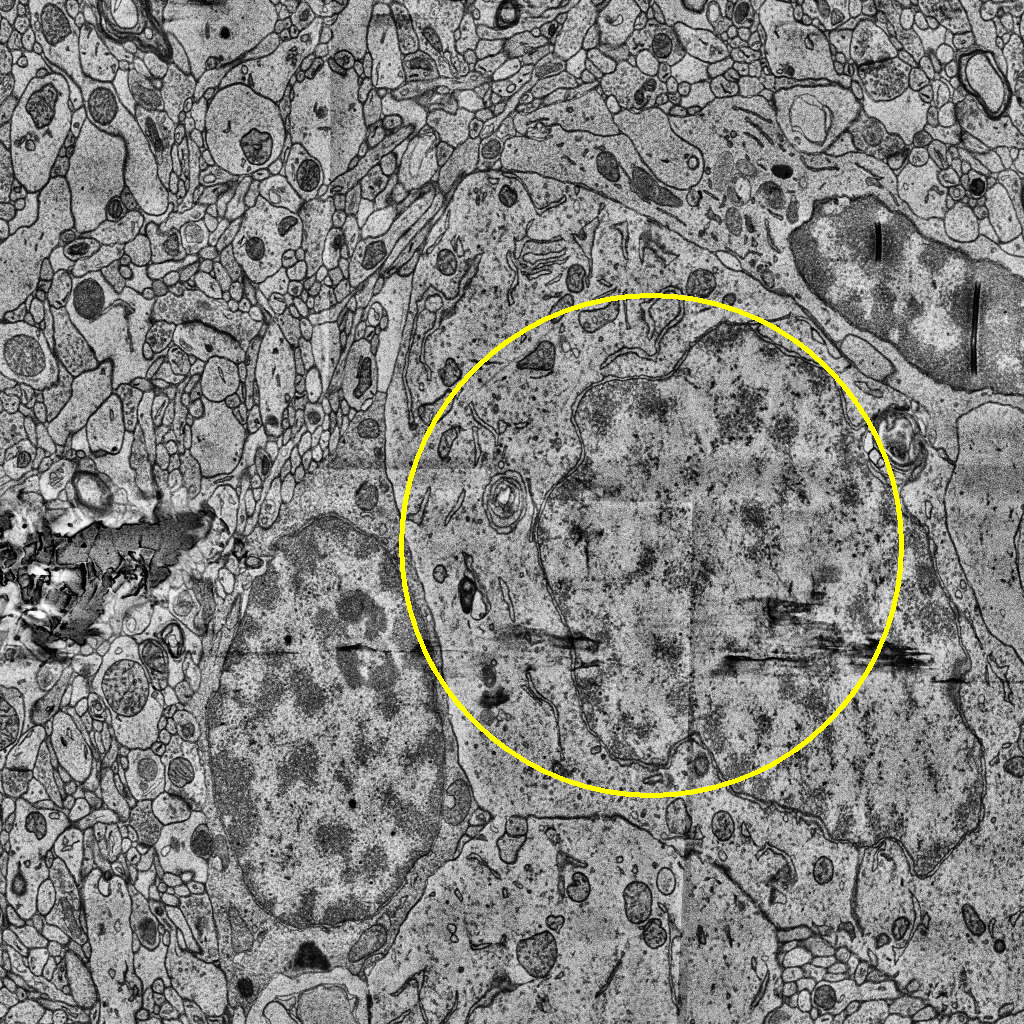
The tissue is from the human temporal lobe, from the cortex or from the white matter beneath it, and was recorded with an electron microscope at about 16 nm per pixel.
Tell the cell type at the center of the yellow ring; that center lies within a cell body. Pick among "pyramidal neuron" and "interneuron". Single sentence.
The ring's center lies in the body of an interneuron.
